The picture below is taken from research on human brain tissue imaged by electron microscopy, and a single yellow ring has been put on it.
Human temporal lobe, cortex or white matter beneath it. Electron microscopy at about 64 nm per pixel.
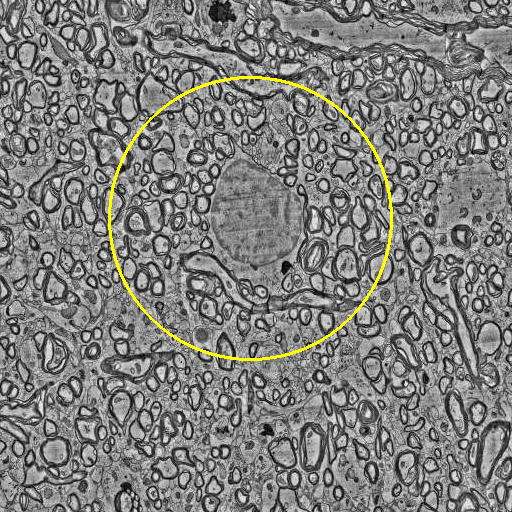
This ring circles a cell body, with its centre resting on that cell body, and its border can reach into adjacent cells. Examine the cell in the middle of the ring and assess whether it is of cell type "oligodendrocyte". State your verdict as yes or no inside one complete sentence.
Yes, in the picture, the cell lying at the centre of the ring is of this type.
